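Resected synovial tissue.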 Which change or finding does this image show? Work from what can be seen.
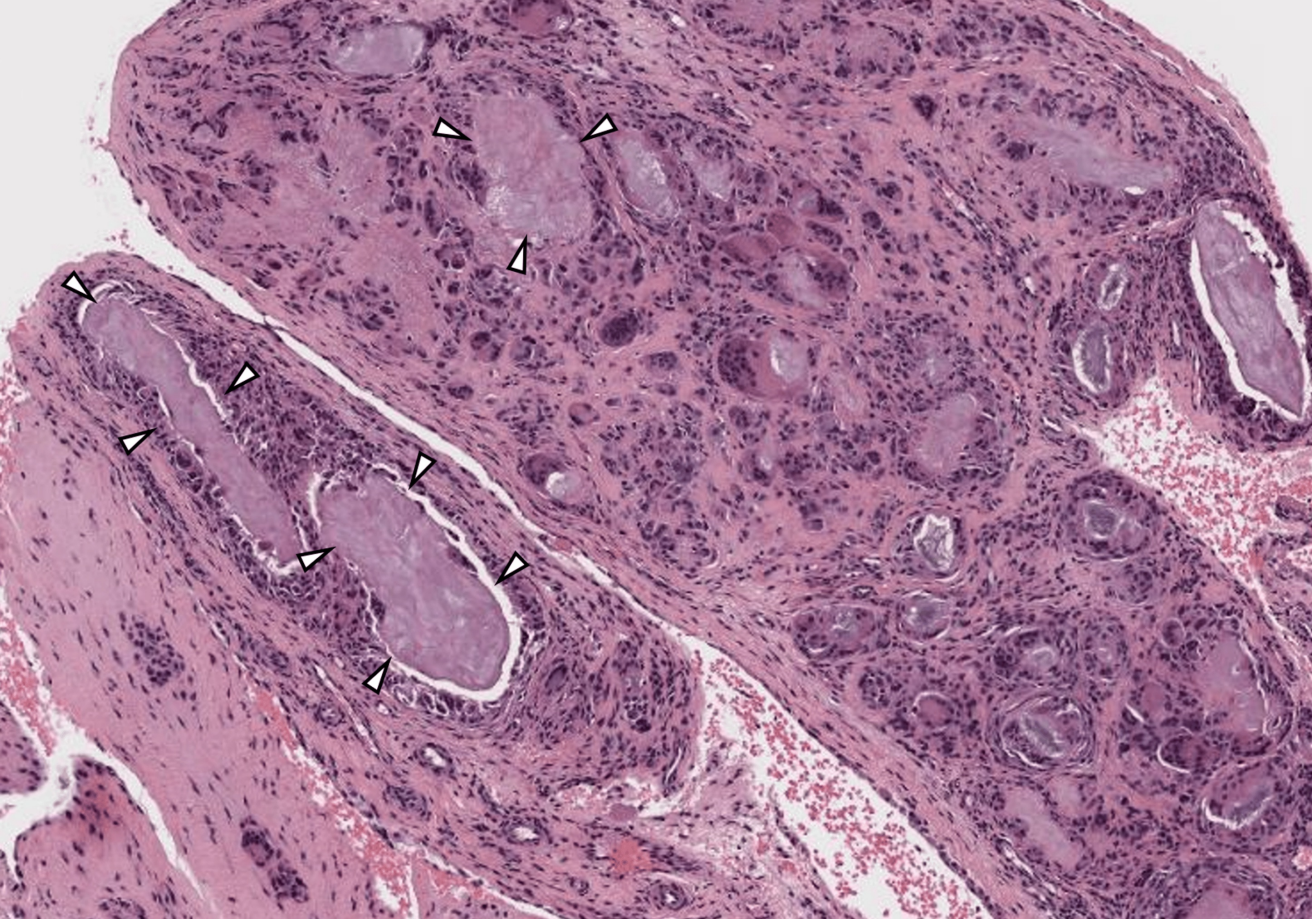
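Gout. There are many pale, acellular, fibrillary deposits in the tissue. The deposits are ringed by a cellular reaction containing giant cells.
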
